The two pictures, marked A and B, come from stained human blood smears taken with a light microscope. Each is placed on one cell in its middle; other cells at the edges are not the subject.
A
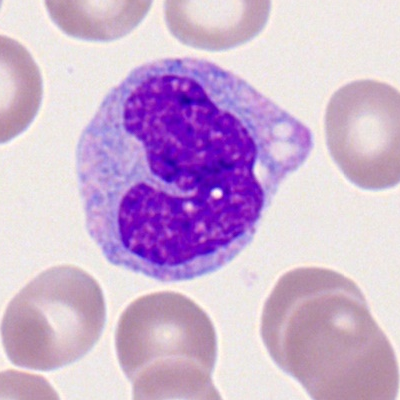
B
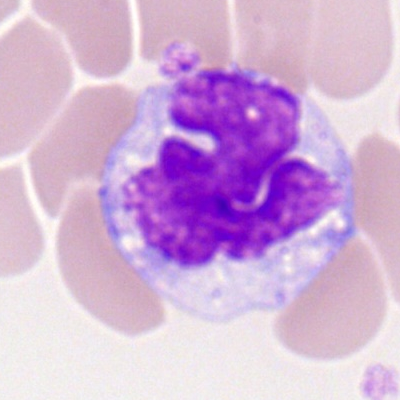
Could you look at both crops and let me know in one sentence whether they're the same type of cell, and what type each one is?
Yes, the two cells in the two crops are monocytes.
